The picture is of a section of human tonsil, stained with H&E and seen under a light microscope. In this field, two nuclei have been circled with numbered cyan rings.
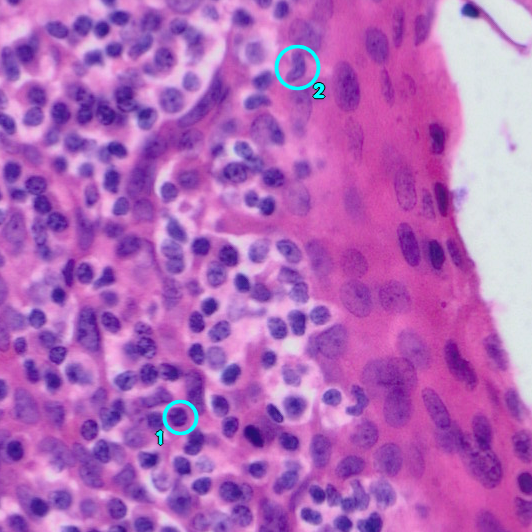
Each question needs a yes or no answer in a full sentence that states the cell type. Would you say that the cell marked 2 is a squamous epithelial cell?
Yes, the cell that is numbered 2 is a squamous epithelial cell.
